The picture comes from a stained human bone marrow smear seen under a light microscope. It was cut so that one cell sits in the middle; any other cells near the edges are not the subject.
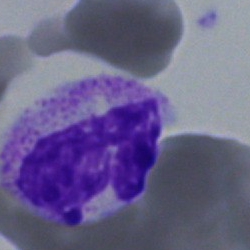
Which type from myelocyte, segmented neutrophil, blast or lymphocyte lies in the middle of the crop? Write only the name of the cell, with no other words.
segmented neutrophil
